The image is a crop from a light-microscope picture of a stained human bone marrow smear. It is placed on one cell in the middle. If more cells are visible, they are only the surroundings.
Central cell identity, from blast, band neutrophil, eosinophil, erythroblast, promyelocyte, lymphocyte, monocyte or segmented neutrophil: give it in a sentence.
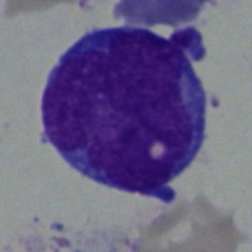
In short, the cell at the center is a blast.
